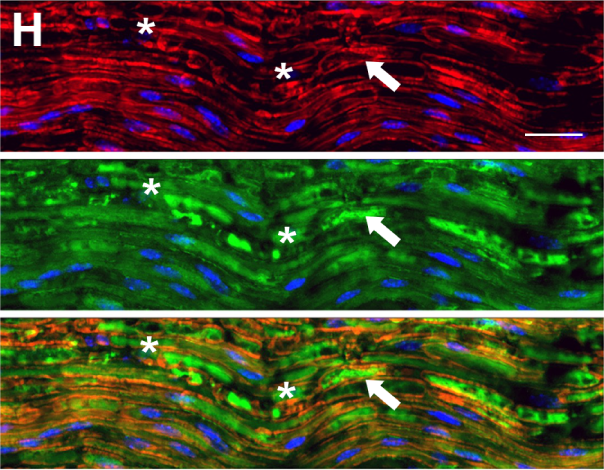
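Nerve fibres run horizontally in gentle waves. Elongated blue nuclei lie between the fibres, aligned with them. The green channel shows fibres with irregular bright accumulations and blobs along their length. An arrow marks a bright green accumulation within a fibre; in the merged view red clumps and green accumulations do not always coincide.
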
